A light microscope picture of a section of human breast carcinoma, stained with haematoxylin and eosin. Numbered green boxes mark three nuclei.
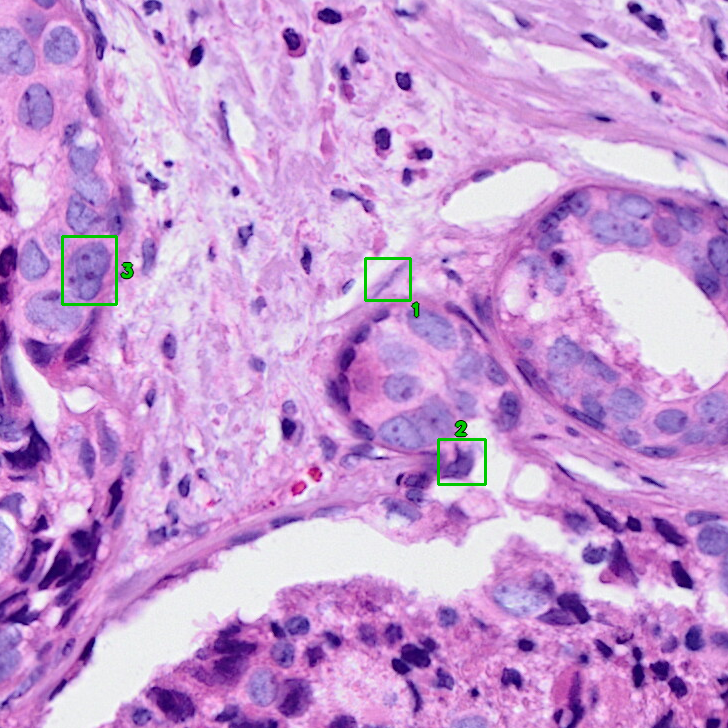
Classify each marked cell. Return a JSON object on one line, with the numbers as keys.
{"1": "fibroblast", "2": "carcinoma cell", "3": "carcinoma cell"}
